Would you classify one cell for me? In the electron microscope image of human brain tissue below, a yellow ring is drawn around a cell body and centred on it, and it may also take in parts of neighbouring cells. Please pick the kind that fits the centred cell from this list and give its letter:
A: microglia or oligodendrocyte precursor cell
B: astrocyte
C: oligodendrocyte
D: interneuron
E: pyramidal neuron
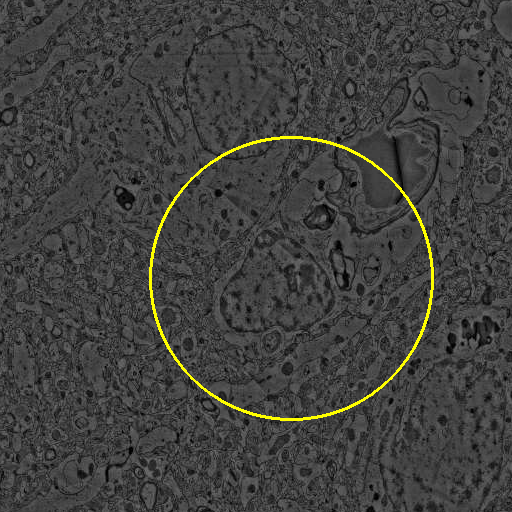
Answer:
A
